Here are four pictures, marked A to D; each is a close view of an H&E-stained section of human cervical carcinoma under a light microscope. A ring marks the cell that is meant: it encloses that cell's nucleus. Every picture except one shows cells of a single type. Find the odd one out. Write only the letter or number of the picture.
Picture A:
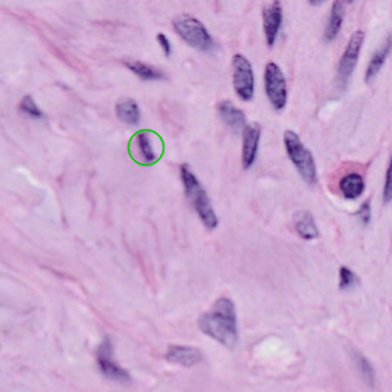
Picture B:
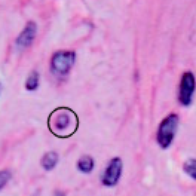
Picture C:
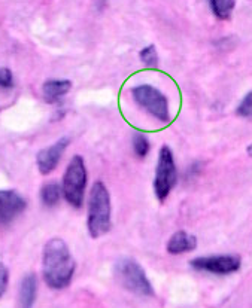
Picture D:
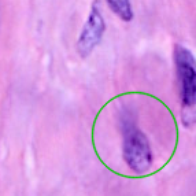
B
